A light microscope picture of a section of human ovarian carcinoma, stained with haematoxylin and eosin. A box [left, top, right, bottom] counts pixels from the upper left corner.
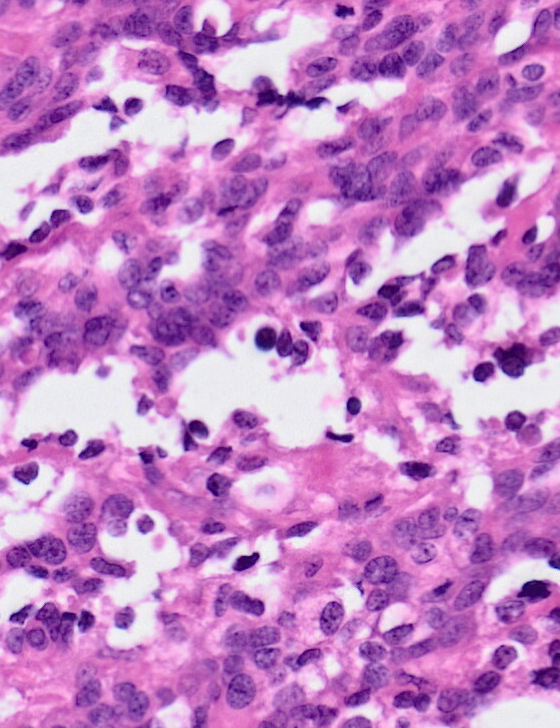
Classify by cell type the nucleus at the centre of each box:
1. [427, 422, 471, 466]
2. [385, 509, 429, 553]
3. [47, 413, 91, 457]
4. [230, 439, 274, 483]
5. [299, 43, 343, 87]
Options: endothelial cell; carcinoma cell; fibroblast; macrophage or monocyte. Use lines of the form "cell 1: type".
cell 1: macrophage or monocyte
cell 2: carcinoma cell
cell 3: carcinoma cell
cell 4: macrophage or monocyte
cell 5: macrophage or monocyte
